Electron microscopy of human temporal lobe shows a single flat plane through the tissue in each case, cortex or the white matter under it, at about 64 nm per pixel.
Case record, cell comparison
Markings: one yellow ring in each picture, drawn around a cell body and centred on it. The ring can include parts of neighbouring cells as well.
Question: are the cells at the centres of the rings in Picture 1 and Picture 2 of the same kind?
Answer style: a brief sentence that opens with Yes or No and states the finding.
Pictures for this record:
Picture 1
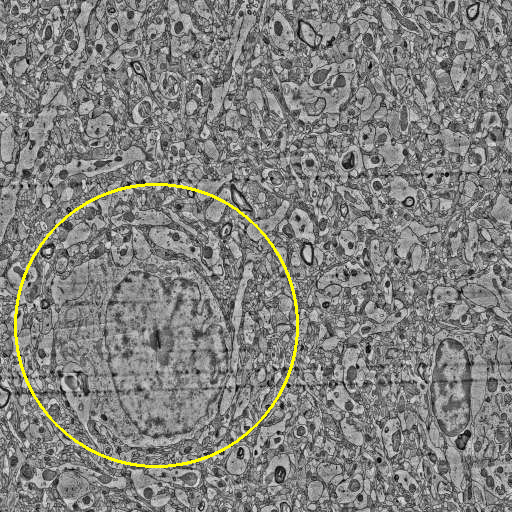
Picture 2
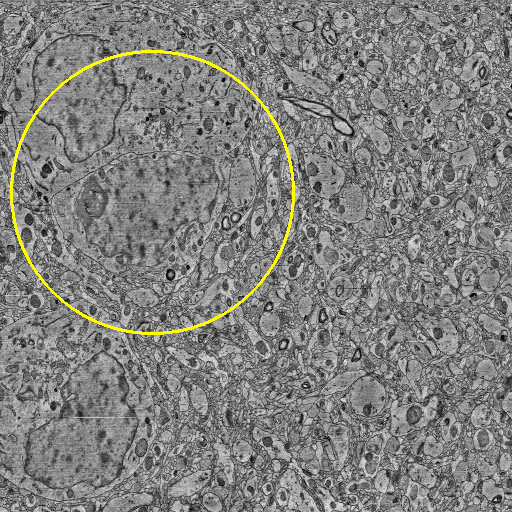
Yes, the cells in Picture 1 and Picture 2 are of the same kind.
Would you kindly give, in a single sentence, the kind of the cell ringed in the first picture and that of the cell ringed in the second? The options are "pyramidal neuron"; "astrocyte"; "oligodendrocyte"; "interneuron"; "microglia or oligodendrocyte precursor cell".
In the first picture and in the second, the ring is centred on an interneuron.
